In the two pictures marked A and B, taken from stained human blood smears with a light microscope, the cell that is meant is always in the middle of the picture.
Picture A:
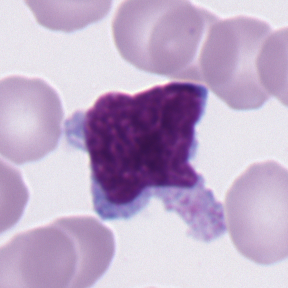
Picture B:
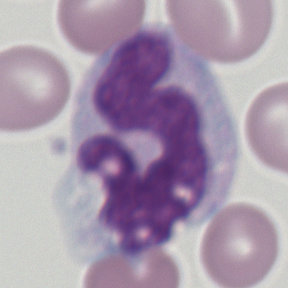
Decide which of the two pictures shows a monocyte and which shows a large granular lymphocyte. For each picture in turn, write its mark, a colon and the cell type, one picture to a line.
A: large granular lymphocyte
B: monocyte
